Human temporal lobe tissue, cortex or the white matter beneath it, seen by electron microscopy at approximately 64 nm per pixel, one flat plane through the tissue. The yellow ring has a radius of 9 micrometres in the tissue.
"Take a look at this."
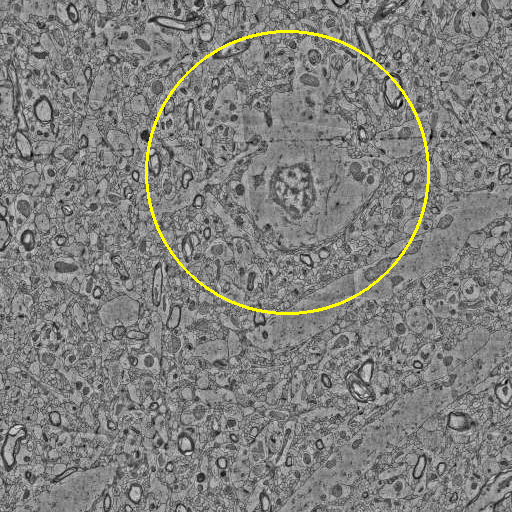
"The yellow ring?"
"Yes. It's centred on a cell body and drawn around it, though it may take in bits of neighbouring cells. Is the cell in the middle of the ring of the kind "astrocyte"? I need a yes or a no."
Yes, it is of the kind asked about.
